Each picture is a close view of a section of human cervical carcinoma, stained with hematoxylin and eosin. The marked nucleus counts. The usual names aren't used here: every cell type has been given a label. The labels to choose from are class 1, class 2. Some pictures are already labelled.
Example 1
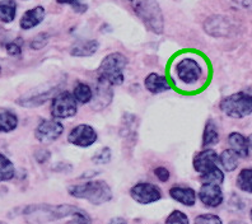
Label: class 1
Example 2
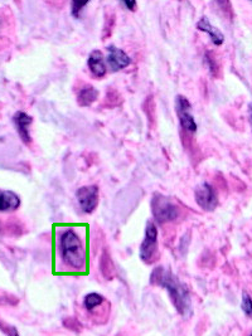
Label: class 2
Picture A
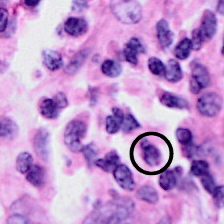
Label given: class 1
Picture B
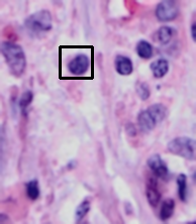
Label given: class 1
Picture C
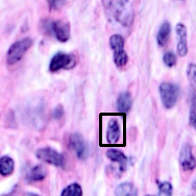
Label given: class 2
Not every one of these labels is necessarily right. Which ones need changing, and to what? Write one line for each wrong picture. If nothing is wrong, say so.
C is labelled class 2; correct label: class 1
